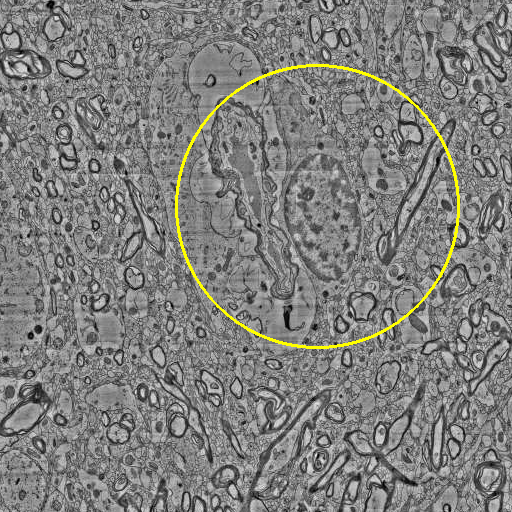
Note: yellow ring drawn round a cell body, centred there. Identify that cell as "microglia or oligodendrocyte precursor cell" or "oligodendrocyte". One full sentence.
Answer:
The cell in the middle of the ring is an oligodendrocyte.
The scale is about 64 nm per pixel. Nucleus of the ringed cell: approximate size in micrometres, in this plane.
About 8 micrometres by about 5 micrometres in this plane.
